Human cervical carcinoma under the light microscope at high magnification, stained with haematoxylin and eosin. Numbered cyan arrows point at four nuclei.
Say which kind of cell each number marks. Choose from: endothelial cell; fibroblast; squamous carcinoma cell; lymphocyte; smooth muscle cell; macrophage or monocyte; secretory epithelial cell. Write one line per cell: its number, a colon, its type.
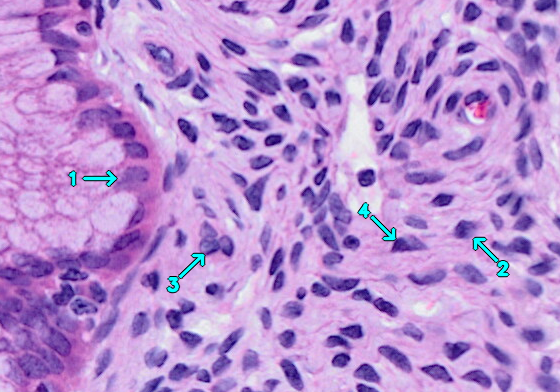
1: secretory epithelial cell
2: fibroblast
3: endothelial cell
4: fibroblast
